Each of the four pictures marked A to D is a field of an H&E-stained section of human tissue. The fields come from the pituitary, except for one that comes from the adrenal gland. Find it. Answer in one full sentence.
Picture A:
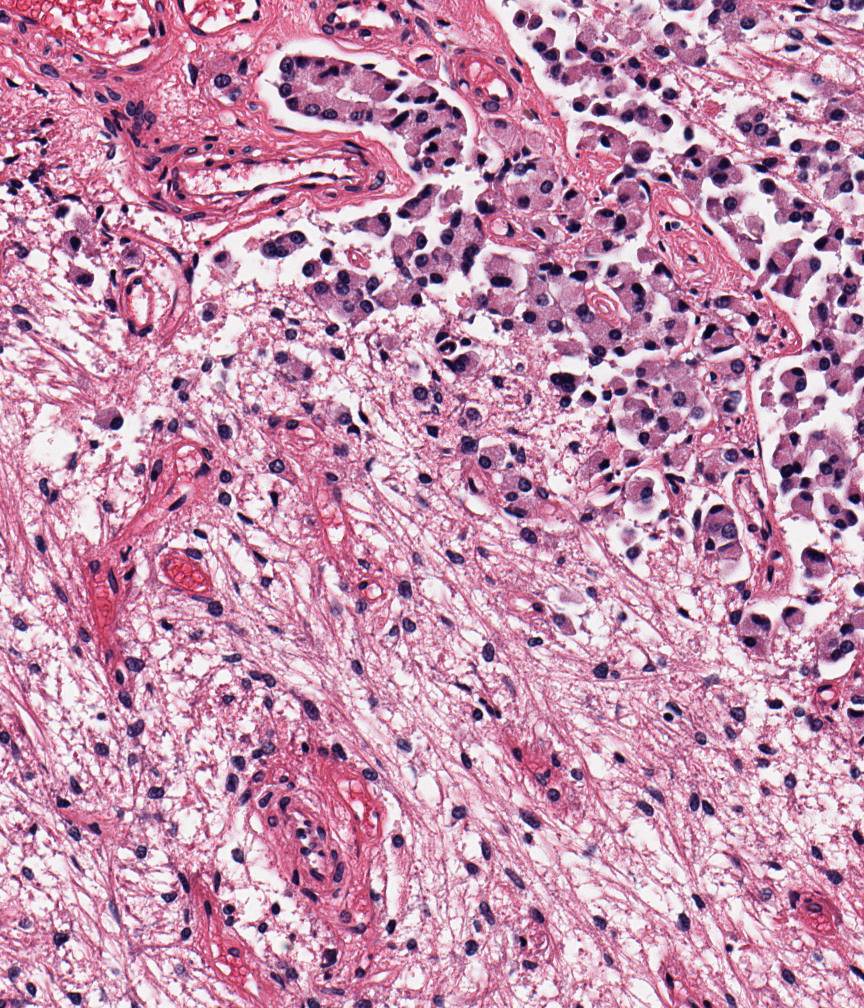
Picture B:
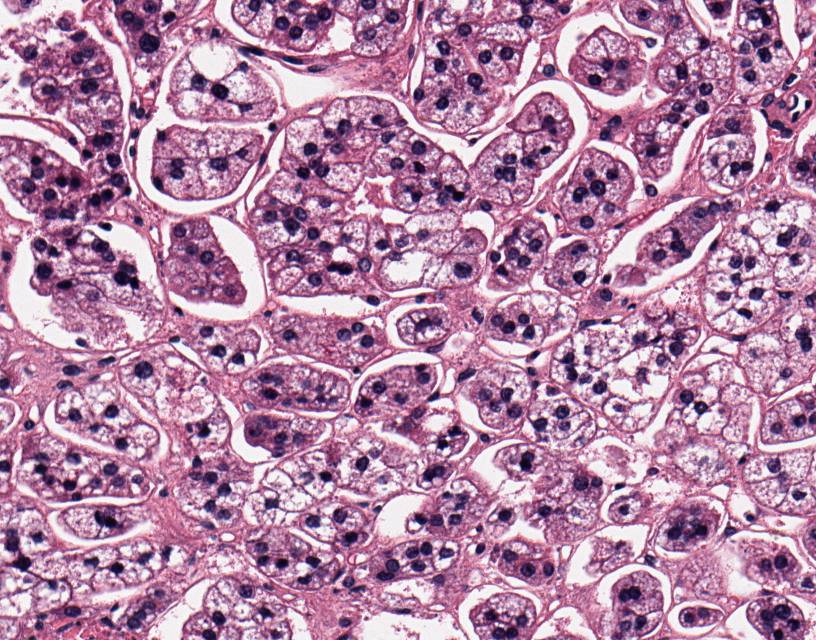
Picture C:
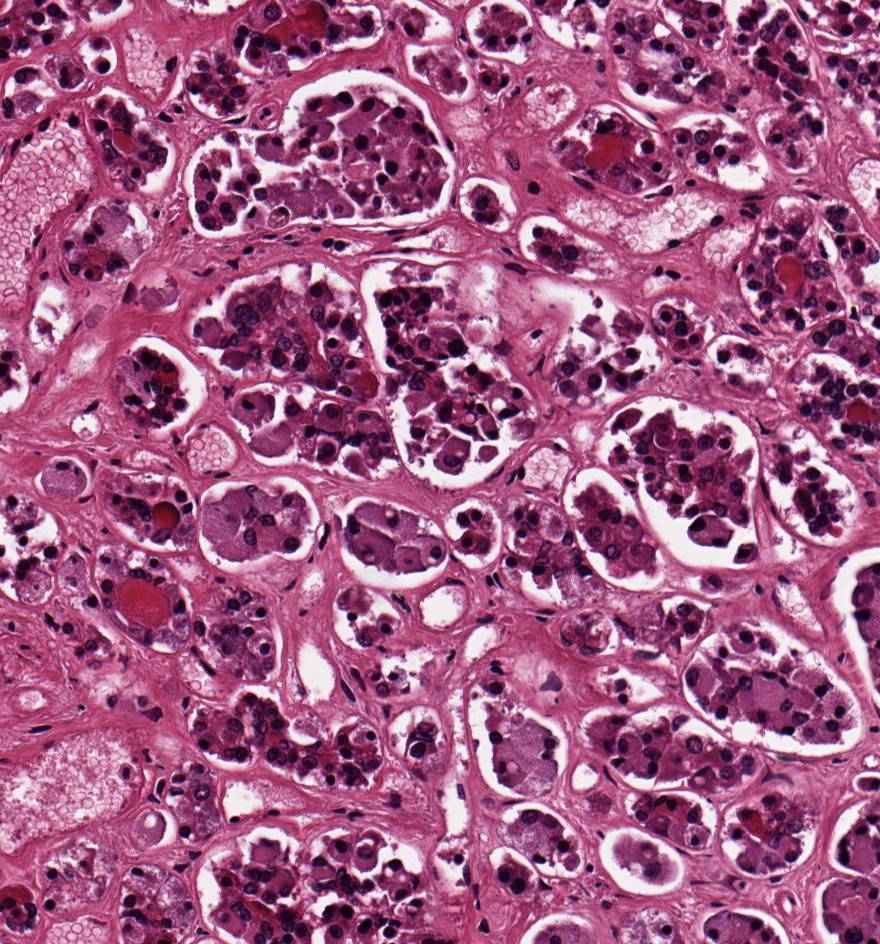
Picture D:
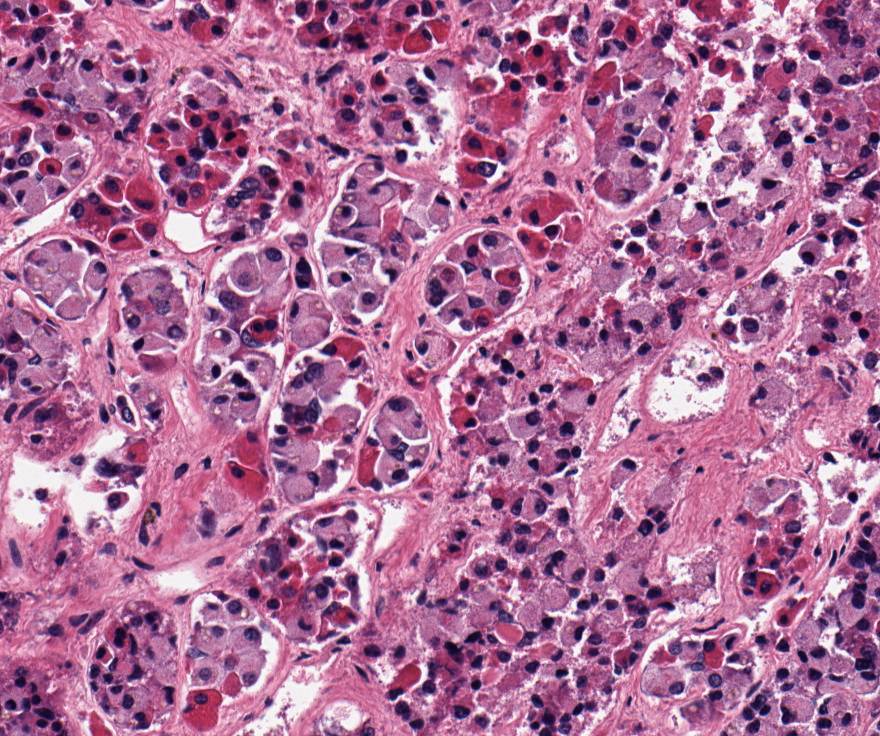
Picture B comes from the adrenal gland.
